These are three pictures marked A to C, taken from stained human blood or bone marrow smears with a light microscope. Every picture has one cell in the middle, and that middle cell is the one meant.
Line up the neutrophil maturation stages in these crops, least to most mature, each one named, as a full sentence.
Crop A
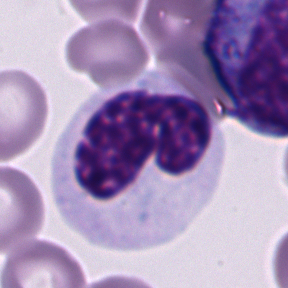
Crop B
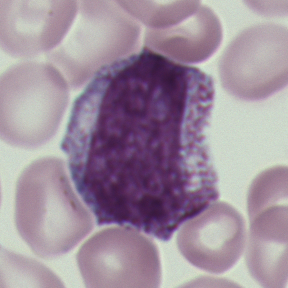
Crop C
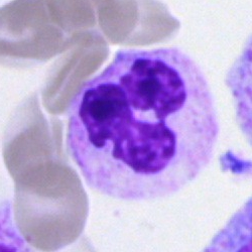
Ranked in ascending maturity, the crops are crop B (a myelocyte), crop A (a band neutrophil) and crop C (a segmented neutrophil).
